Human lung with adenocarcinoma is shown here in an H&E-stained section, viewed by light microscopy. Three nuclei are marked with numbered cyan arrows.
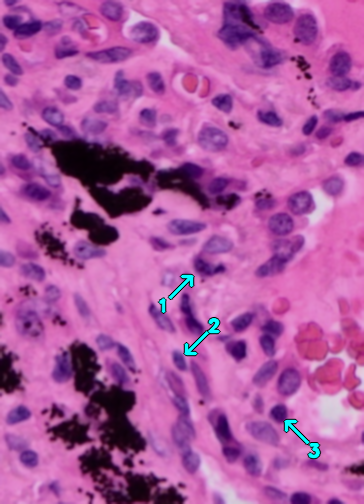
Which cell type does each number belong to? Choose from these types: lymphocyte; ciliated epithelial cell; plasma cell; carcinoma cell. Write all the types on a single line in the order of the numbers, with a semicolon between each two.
plasma cell; lymphocyte; lymphocyte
